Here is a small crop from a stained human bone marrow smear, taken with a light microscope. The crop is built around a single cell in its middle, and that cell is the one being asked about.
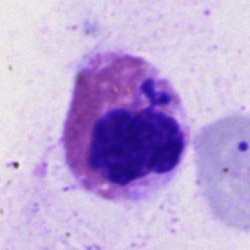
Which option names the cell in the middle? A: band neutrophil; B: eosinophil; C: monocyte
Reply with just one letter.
B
